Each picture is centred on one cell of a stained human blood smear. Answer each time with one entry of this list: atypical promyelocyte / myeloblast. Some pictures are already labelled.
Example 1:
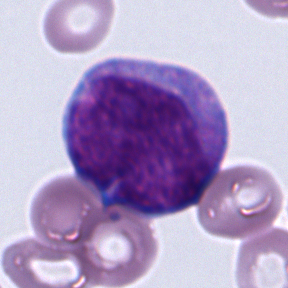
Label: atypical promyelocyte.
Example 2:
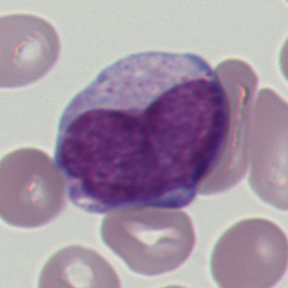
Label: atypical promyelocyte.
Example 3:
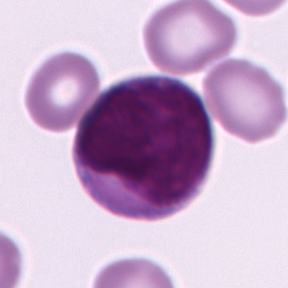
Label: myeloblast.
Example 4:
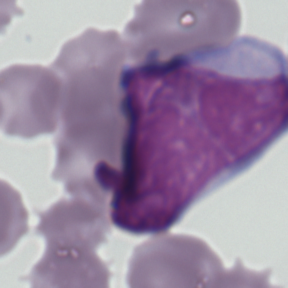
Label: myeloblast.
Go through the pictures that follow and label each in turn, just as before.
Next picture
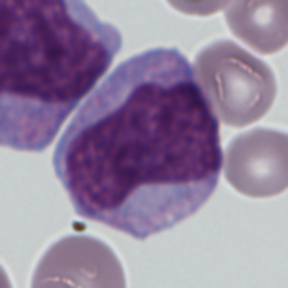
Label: atypical promyelocyte.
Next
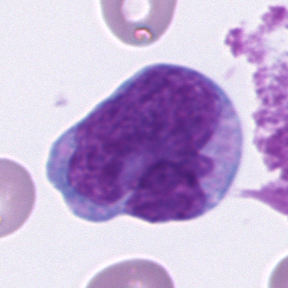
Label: atypical promyelocyte.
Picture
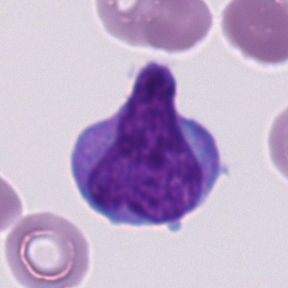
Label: atypical promyelocyte.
